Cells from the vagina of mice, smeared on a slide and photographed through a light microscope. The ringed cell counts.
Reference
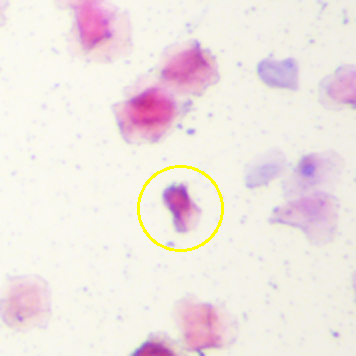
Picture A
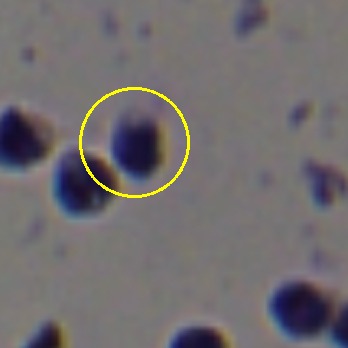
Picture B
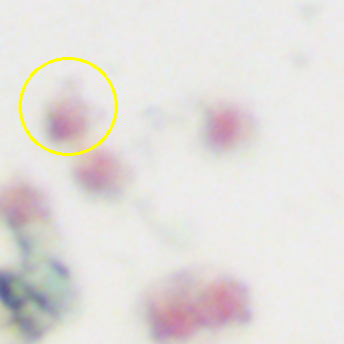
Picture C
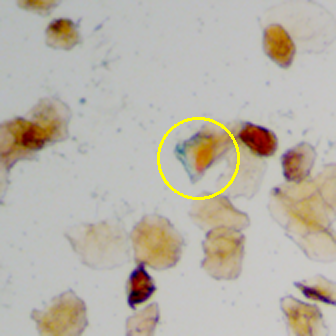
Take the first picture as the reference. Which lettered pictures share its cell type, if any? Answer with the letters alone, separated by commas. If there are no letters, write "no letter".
C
